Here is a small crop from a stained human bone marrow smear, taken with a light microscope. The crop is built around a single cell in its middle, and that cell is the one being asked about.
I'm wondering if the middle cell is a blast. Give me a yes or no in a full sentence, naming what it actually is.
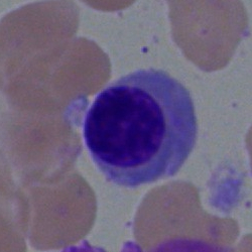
No, the central cell is an erythroblast, not a blast.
